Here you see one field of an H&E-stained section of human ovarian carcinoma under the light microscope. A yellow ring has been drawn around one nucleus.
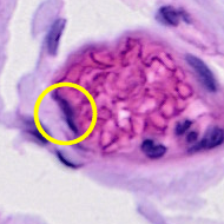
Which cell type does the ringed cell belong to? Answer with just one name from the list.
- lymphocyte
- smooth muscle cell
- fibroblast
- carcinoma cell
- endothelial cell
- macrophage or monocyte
endothelial cell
